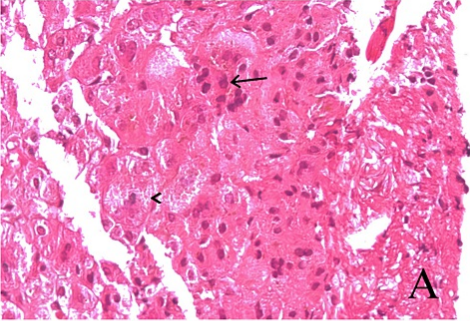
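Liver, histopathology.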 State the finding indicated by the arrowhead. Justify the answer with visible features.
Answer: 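The arrowhead lies at a swollen liver cell with pale, cleared, wispy cytoplasm.
Ballooning.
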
